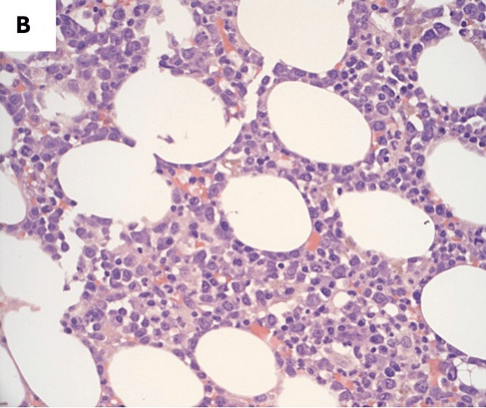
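This is bone marrow in which large round empty fat spaces are separated by crowded sheets of blood-forming cells. The cells have round to oval purple nuclei, many with a rim of pink-purple cytoplasm, and some have nuclei set off to one side of the cell. Small groups of red blood cells lie in narrow channels between the cells. No large cell with a big lobed nucleus stands out among them, fitting the scarcity of megakaryocytes in this crowded marrow.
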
